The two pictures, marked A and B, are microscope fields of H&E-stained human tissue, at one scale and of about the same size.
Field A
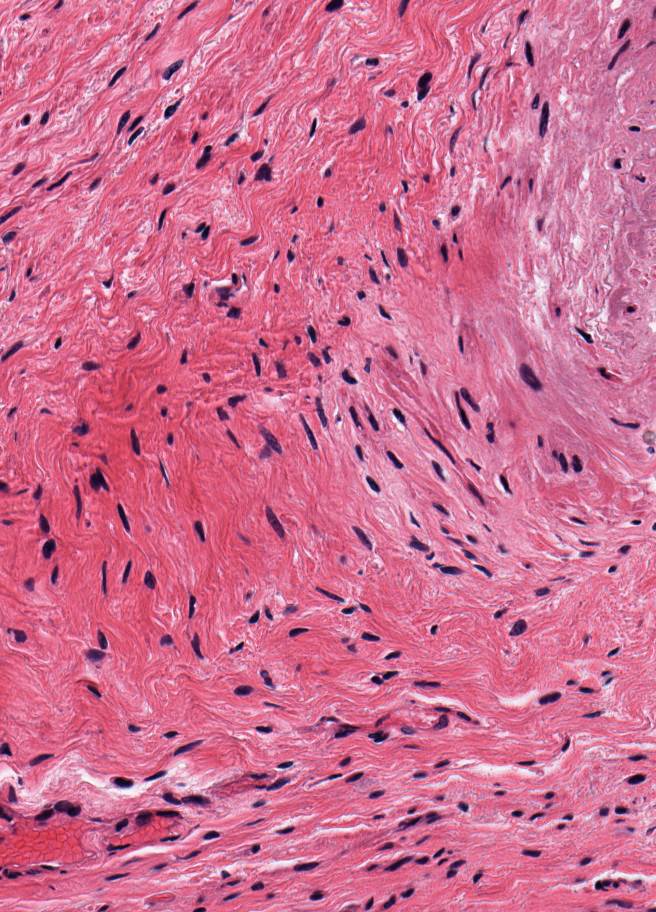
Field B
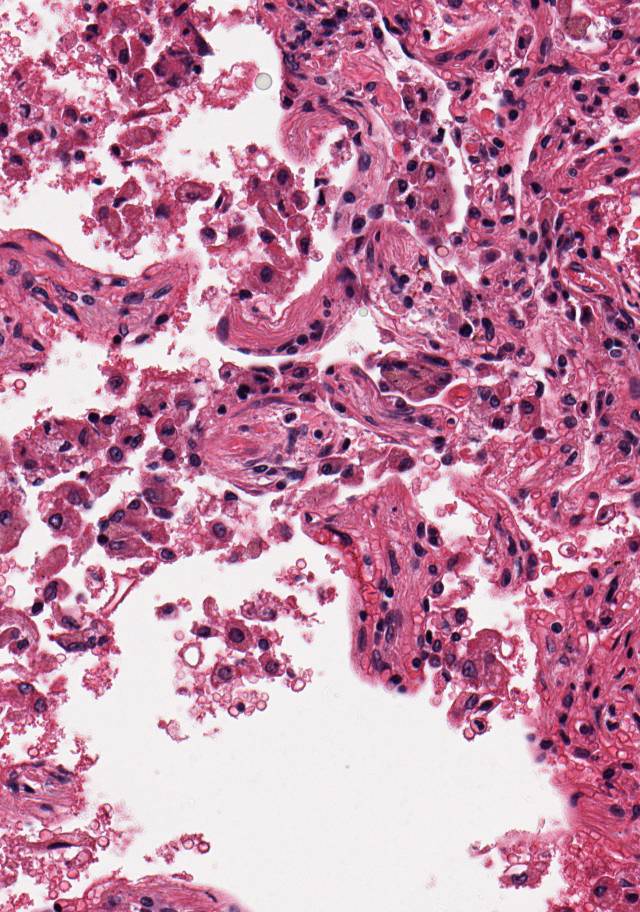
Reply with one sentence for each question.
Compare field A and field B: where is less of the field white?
Unstained space takes up less of field A than of field B.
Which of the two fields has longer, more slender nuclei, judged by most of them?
It is field A whose nuclei are the more elongated.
